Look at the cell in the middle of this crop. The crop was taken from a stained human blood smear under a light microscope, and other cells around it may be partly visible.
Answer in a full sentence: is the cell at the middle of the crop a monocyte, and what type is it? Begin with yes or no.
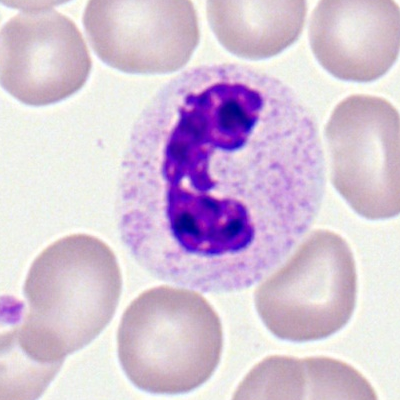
No, the centre of the crop is taken up by a band neutrophil, not a monocyte.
